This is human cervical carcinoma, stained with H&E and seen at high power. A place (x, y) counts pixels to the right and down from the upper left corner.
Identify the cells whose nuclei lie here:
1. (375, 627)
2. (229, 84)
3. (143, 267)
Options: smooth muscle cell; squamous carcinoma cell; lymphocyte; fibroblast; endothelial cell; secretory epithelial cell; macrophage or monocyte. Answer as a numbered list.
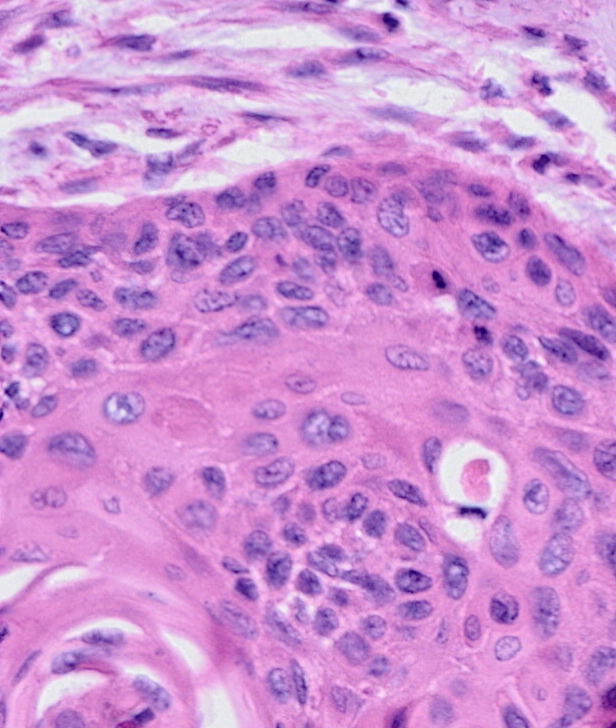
1. squamous carcinoma cell
2. fibroblast
3. squamous carcinoma cell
